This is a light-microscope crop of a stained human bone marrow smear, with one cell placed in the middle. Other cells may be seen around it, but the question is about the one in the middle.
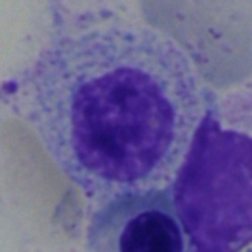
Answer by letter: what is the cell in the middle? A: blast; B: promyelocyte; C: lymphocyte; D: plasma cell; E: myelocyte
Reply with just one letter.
E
